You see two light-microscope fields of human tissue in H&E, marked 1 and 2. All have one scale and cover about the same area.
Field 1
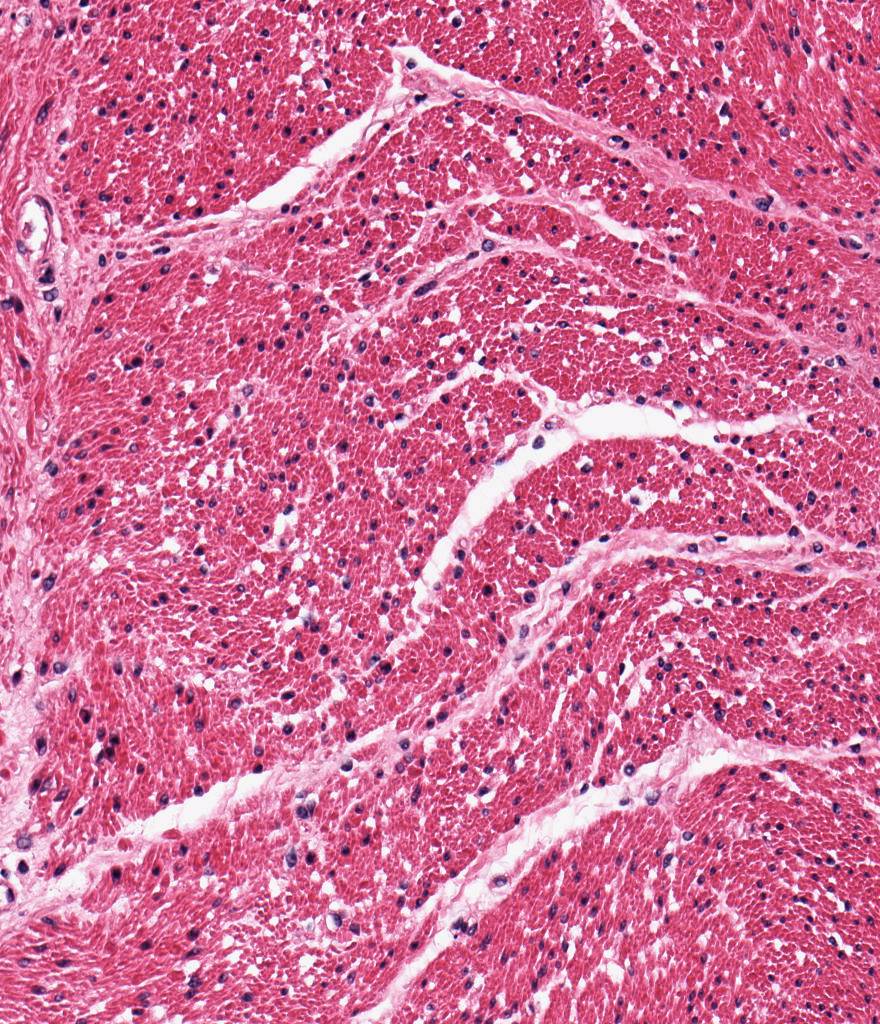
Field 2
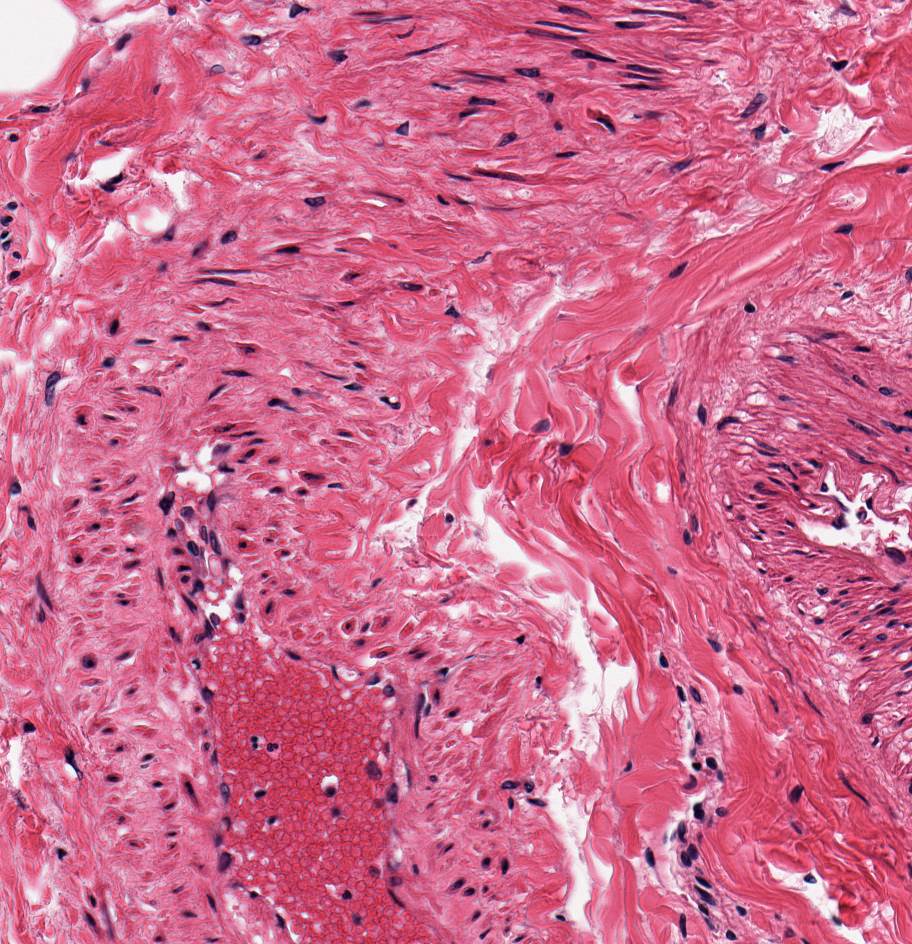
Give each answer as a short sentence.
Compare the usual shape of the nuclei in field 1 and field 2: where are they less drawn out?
Rounder nuclei lie in field 1.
